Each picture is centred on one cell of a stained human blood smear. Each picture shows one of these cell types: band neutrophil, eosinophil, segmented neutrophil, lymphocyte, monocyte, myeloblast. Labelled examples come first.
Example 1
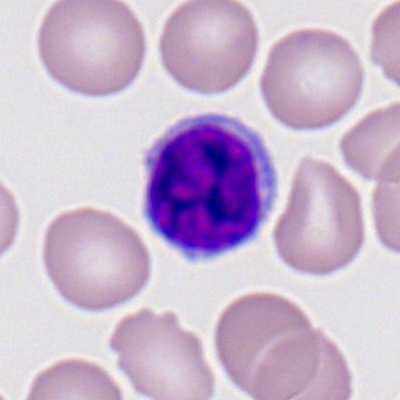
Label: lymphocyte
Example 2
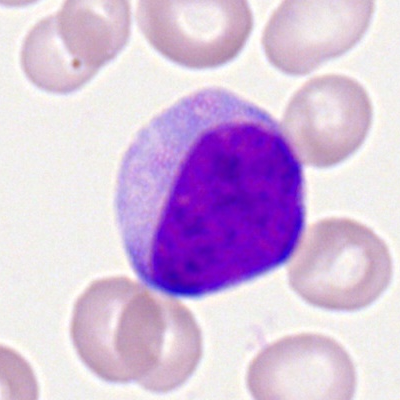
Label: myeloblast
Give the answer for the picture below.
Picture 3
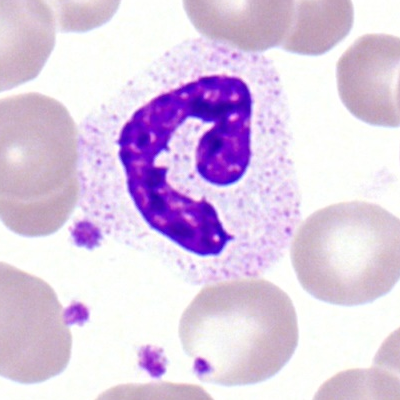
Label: band neutrophil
